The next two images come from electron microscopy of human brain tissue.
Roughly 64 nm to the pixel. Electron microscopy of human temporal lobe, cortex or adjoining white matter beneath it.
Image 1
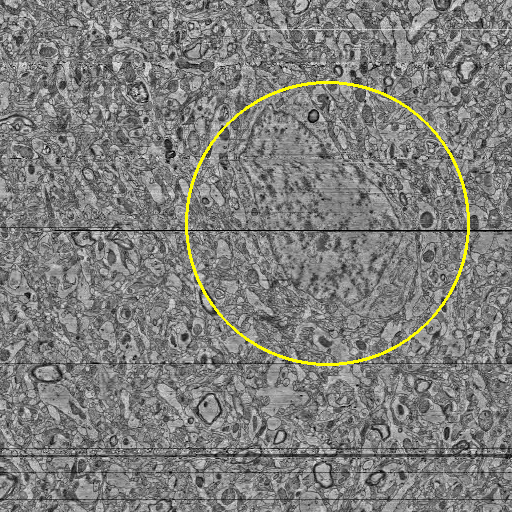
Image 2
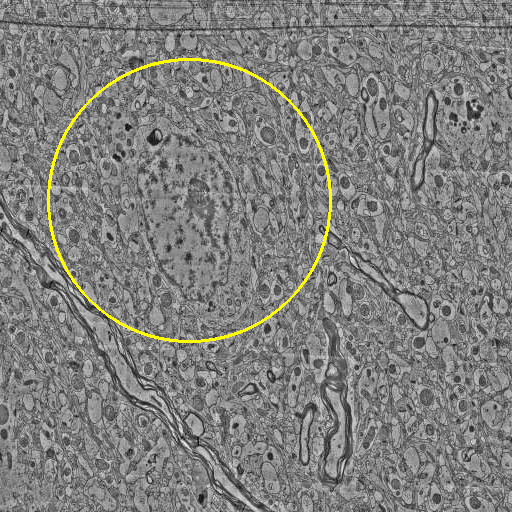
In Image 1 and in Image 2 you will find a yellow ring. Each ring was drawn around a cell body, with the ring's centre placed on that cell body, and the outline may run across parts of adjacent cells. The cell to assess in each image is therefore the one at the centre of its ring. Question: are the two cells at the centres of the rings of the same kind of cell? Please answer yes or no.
yes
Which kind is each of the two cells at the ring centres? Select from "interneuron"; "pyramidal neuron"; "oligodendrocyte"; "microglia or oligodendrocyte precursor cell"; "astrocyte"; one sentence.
In both pictures the ring is centred on an interneuron.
